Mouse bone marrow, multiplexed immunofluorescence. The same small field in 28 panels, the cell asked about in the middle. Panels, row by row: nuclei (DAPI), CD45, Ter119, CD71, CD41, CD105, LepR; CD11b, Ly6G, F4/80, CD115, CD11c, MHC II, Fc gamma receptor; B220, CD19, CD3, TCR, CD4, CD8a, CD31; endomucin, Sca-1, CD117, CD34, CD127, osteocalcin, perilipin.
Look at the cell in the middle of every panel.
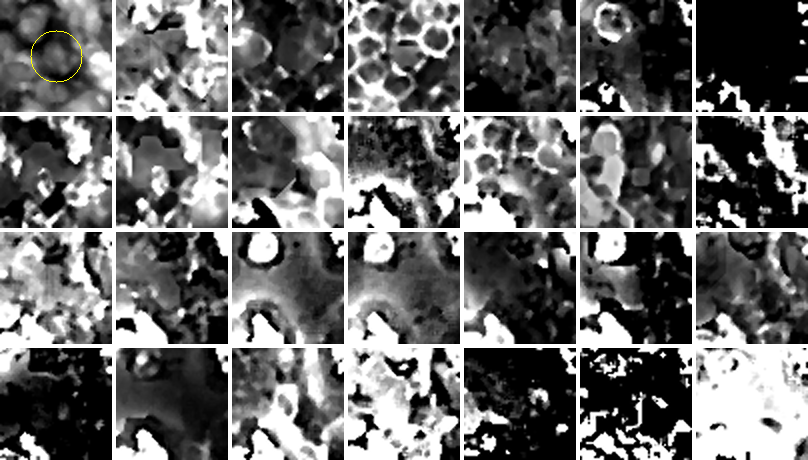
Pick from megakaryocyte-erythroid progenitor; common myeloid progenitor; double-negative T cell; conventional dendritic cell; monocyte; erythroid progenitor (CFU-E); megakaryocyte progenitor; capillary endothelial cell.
conventional dendritic cell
